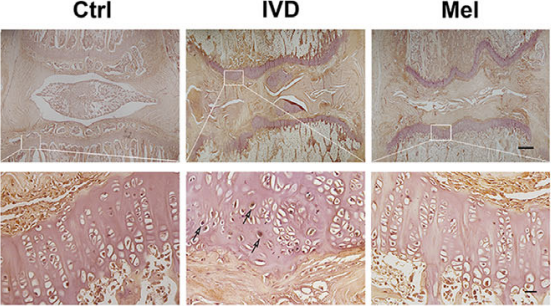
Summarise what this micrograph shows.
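At low magnification the disc appears with a central space bounded above and below by wavy pink bands of endplate cartilage, with paler fibrous tissue around. At high magnification the endplate cartilage shows rounded chondrocytes sitting singly or in small groups within clear lacunae in a pink matrix. In some fields scattered chondrocytes carry dark brown staining, while others remain unstained. Along the margins the tissue grades into looser, brownish-tinged fibrous tissue.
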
